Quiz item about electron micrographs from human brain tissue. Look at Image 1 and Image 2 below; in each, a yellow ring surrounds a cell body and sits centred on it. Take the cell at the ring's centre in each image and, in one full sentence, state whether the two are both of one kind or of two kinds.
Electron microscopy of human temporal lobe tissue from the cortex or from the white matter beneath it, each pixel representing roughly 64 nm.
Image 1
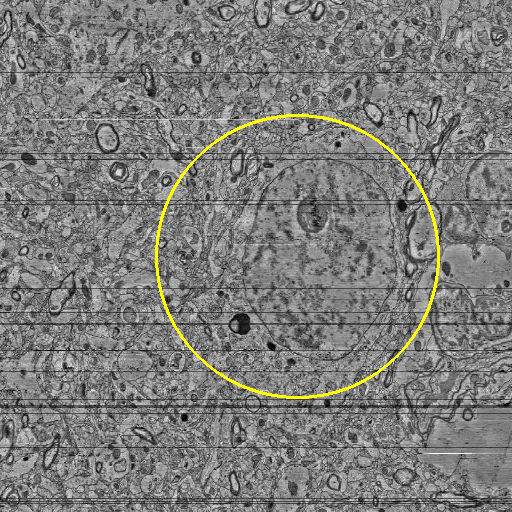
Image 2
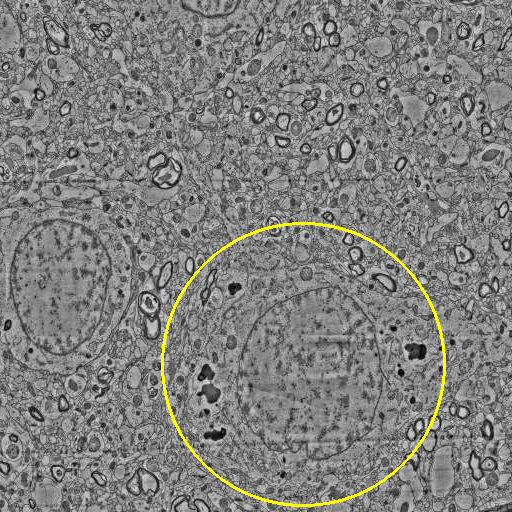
In Image 1 and Image 2, the cells at the ring centres are both of one kind.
